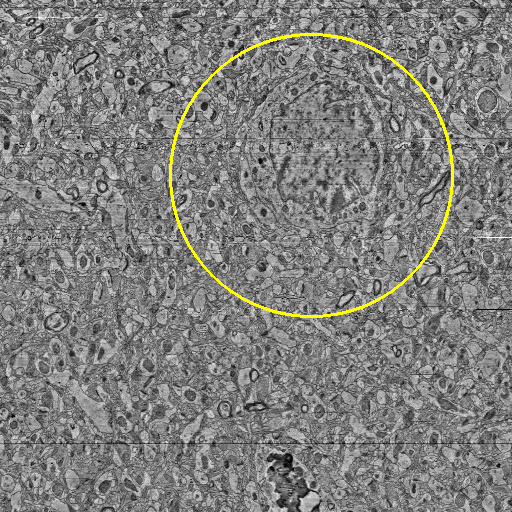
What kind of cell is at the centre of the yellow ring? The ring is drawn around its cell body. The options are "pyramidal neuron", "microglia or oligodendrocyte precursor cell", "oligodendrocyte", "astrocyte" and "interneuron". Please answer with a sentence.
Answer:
The yellow ring marks the cell body of an interneuron.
